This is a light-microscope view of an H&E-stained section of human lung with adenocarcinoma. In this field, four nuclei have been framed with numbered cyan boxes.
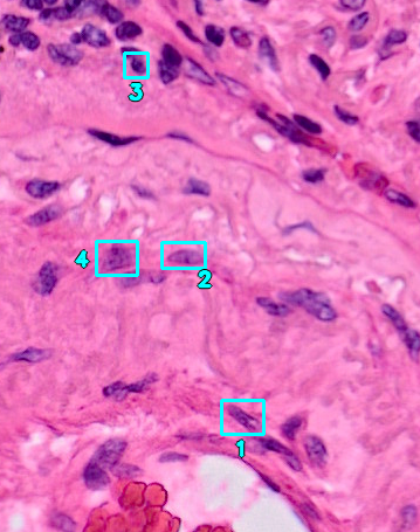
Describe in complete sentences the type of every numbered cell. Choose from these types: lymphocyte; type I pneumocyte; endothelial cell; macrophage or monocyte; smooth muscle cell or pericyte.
Cells 1, 2 and 4 are smooth muscle cells or pericytes. Cell 3 is a lymphocyte.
